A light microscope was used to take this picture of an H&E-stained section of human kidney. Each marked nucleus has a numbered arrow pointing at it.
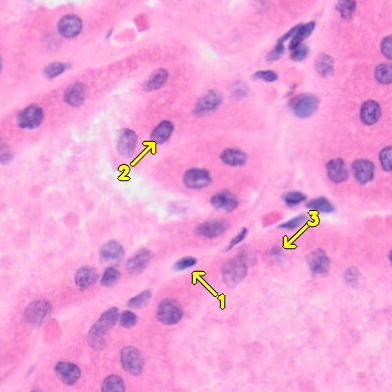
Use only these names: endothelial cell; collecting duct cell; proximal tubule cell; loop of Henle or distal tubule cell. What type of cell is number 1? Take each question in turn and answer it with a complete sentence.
The cell referred to as 1 is an endothelial cell.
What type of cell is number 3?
Marked with the number 3, this cell is a proximal tubule cell.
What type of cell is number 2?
It is as a proximal tubule cell that the cell numbered 2 is identified.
